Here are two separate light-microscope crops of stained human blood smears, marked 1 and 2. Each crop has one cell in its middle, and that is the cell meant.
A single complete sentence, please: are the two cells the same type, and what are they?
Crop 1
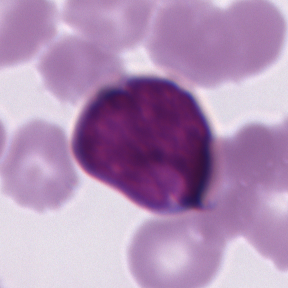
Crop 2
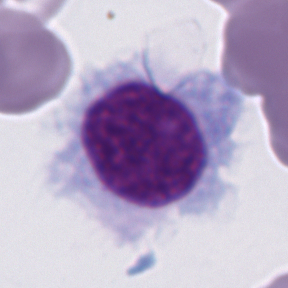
No, crop 1 shows a myeloblast and crop 2 a hairy cell.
